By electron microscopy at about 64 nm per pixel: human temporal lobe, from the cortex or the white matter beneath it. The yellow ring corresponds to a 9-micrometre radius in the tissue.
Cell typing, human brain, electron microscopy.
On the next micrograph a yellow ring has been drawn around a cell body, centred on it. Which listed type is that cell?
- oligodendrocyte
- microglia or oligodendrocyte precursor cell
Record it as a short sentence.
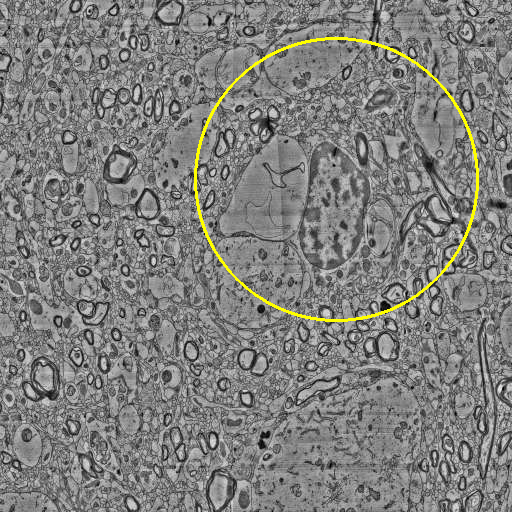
The cell body in the ring's centre belongs to a microglial cell or oligodendrocyte precursor cell.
